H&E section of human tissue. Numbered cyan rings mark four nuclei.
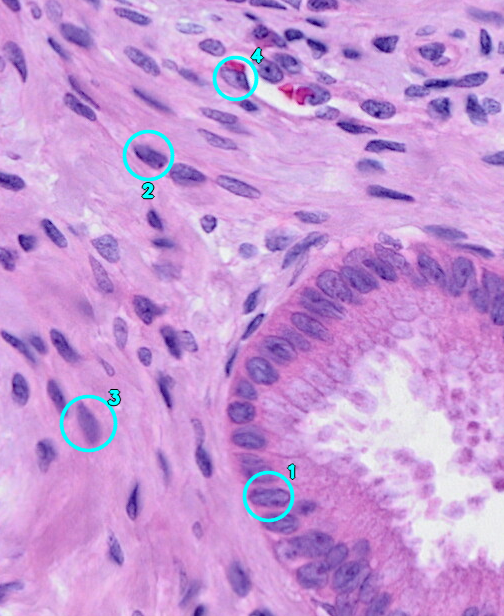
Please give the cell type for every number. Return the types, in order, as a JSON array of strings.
["secretory epithelial cell", "fibroblast", "fibroblast", "endothelial cell"]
